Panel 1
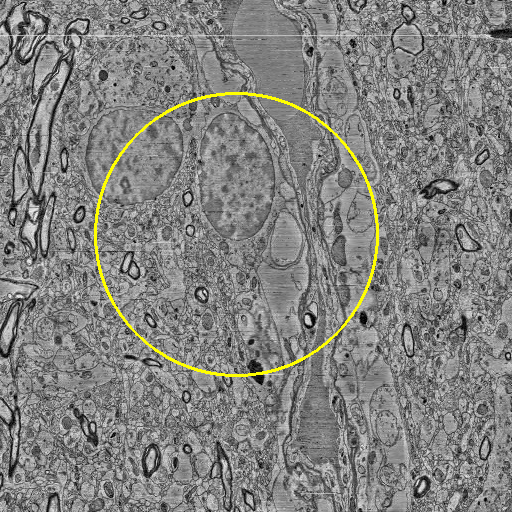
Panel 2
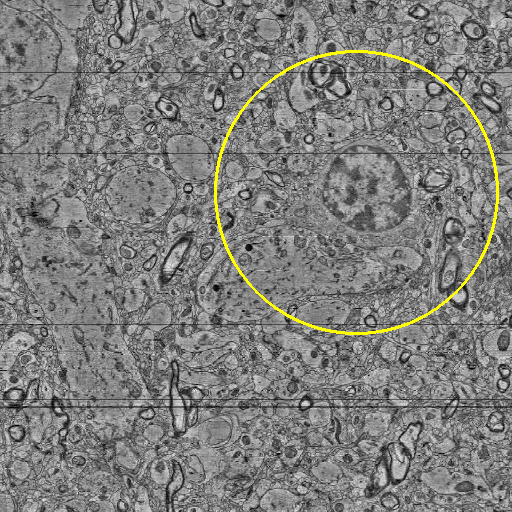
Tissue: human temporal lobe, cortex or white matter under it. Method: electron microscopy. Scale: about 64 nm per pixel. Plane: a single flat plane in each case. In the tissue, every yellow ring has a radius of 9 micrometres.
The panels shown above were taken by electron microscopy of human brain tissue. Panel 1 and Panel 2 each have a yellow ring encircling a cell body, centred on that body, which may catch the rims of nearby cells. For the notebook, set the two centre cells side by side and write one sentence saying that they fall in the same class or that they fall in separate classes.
The centred cells of Panel 1 and Panel 2 fall in the same class.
